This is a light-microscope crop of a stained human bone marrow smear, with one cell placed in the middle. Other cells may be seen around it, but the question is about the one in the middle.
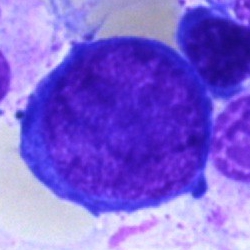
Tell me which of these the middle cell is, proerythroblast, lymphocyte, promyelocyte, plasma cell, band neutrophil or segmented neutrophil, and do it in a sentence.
The cell shown in the center of this light-microscope crop is a proerythroblast.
